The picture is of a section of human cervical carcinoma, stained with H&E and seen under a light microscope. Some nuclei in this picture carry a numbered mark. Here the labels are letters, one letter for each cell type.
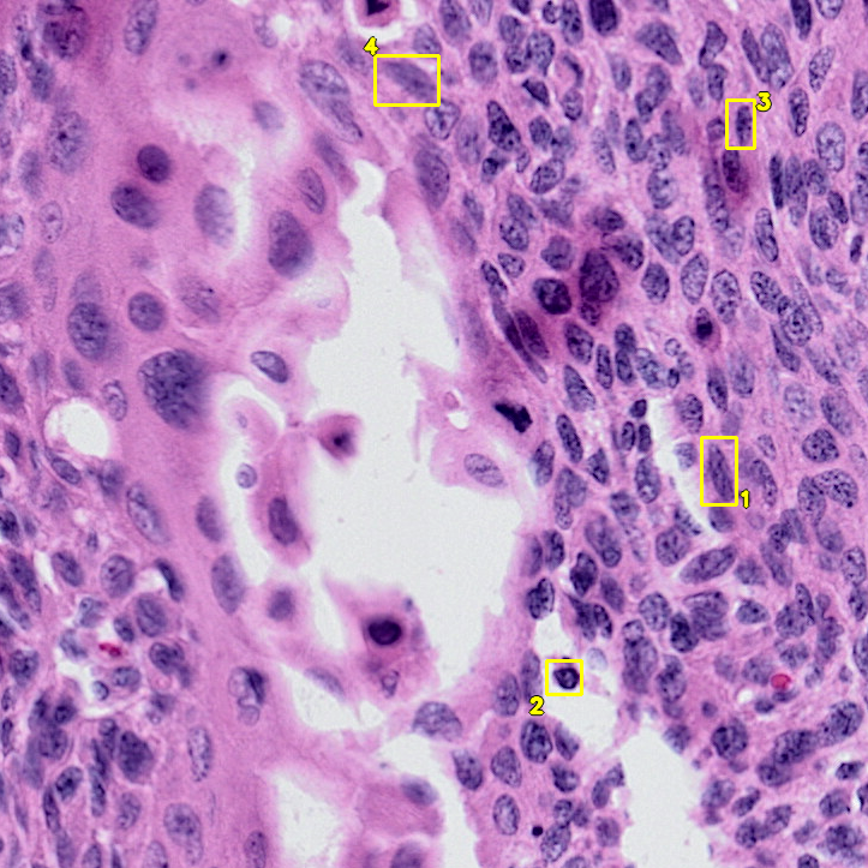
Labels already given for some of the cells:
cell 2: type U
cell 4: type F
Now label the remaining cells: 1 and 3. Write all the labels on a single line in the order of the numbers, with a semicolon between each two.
type F; type F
